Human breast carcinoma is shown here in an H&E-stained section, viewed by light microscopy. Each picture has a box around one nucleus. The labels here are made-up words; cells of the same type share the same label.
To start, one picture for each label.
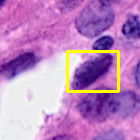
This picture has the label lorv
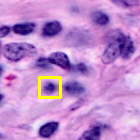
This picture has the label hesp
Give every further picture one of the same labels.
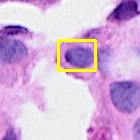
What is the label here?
lorv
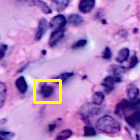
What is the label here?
hesp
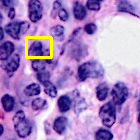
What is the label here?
hesp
